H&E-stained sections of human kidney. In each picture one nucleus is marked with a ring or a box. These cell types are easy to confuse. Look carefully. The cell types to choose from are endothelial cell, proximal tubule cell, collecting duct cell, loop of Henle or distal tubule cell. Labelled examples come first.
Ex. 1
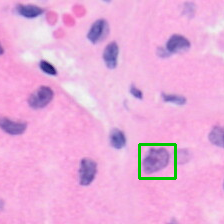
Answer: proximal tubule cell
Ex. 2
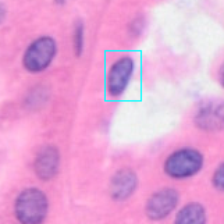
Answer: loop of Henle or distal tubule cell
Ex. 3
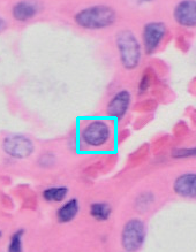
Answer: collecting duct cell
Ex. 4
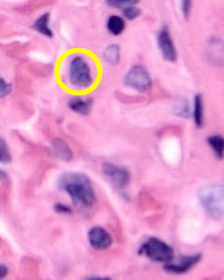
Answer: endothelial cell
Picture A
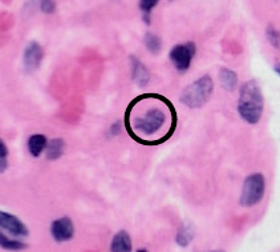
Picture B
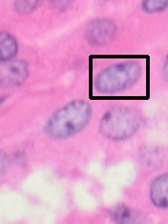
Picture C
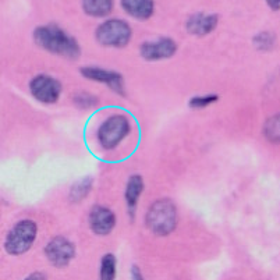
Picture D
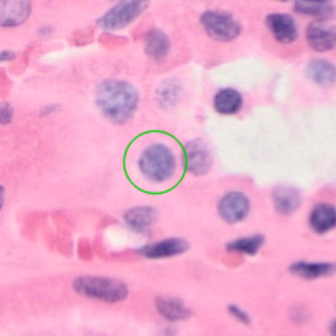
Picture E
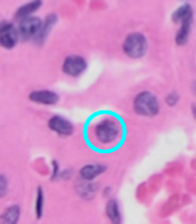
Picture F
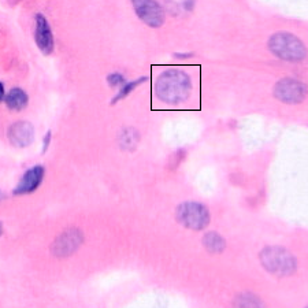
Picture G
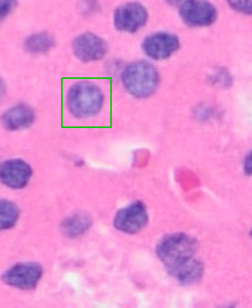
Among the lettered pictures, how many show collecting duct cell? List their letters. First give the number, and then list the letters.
0, none of them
